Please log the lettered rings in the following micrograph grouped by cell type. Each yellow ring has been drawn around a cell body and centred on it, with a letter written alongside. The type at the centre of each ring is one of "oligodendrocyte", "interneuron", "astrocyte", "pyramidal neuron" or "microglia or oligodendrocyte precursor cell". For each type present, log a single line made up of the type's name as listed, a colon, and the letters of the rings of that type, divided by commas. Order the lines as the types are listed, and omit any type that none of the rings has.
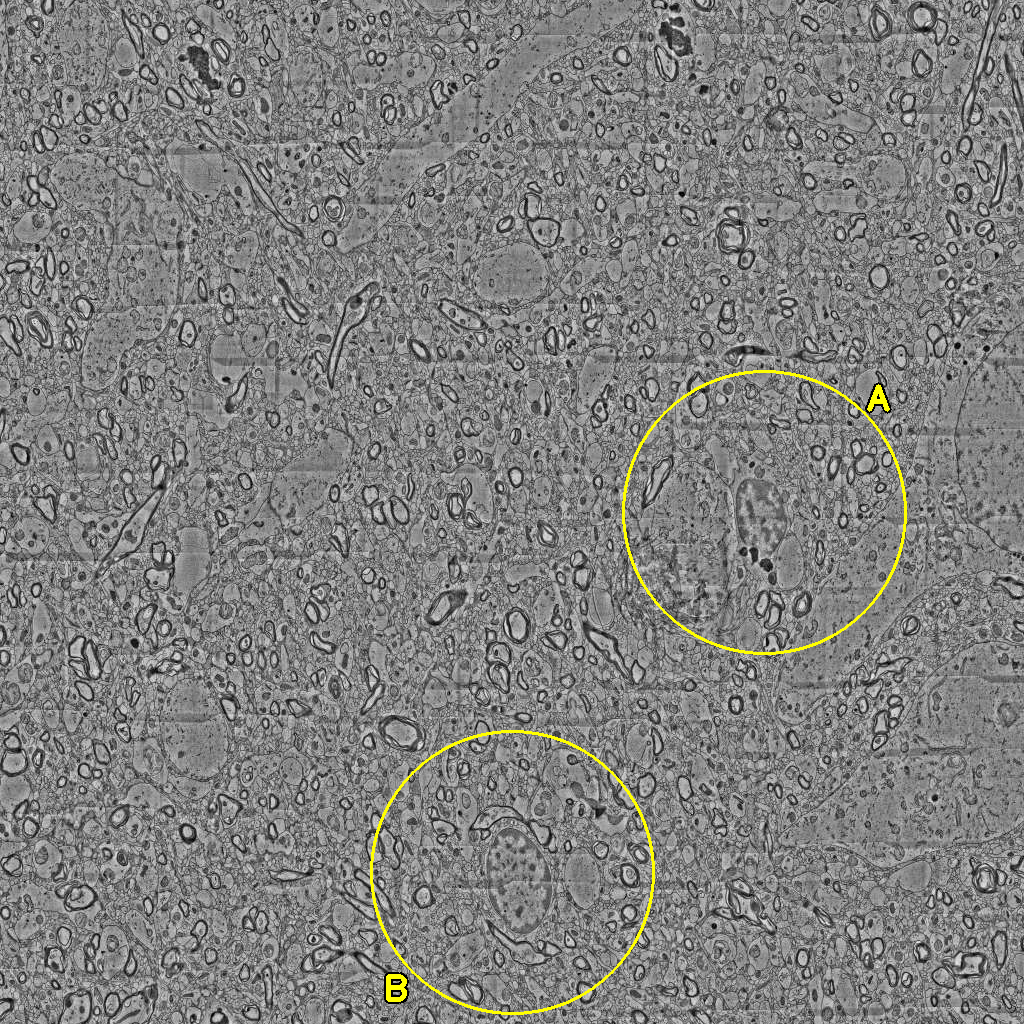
oligodendrocyte: A
microglia or oligodendrocyte precursor cell: B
